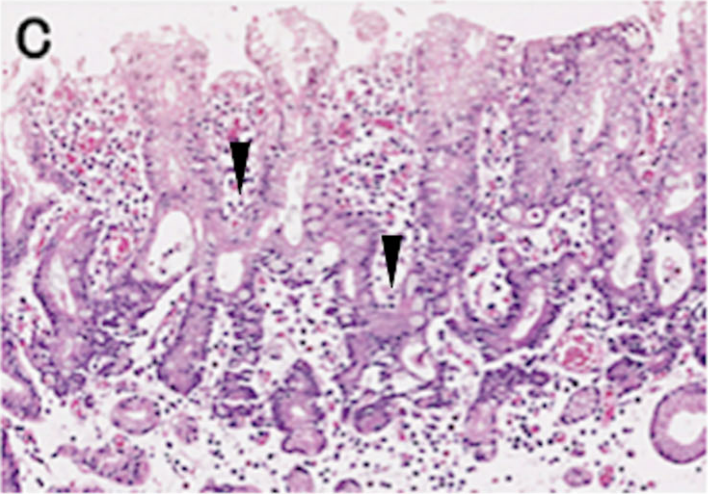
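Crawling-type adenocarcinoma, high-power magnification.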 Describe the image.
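This is stomach mucosa with cancer glands that look deceptively bland. The glands are irregular and join each other at points, forming bridges between neighbouring glands, with tall cells whose nuclei are only slightly enlarged. The stroma between them is loose and holds many scattered inflammatory cells and small vessels.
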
